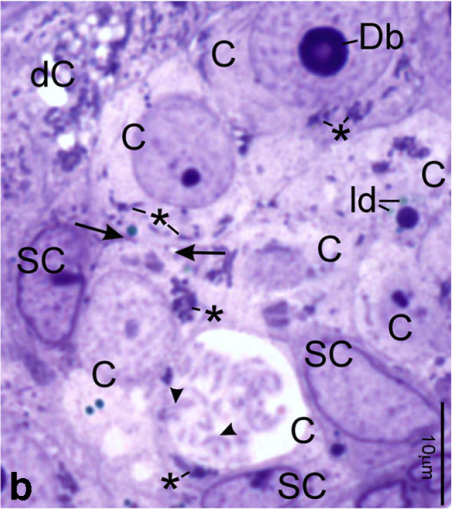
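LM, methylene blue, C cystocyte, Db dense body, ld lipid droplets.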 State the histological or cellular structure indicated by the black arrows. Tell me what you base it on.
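Two arrows point toward each other at a narrow junction between neighbouring cells. So: rims of intercellular bridge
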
